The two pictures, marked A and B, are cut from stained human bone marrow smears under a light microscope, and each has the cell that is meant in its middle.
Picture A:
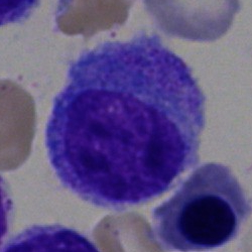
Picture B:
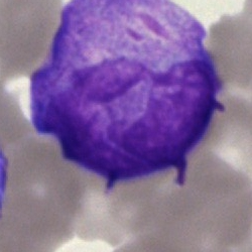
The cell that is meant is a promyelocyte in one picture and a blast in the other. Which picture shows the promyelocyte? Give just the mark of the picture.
A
